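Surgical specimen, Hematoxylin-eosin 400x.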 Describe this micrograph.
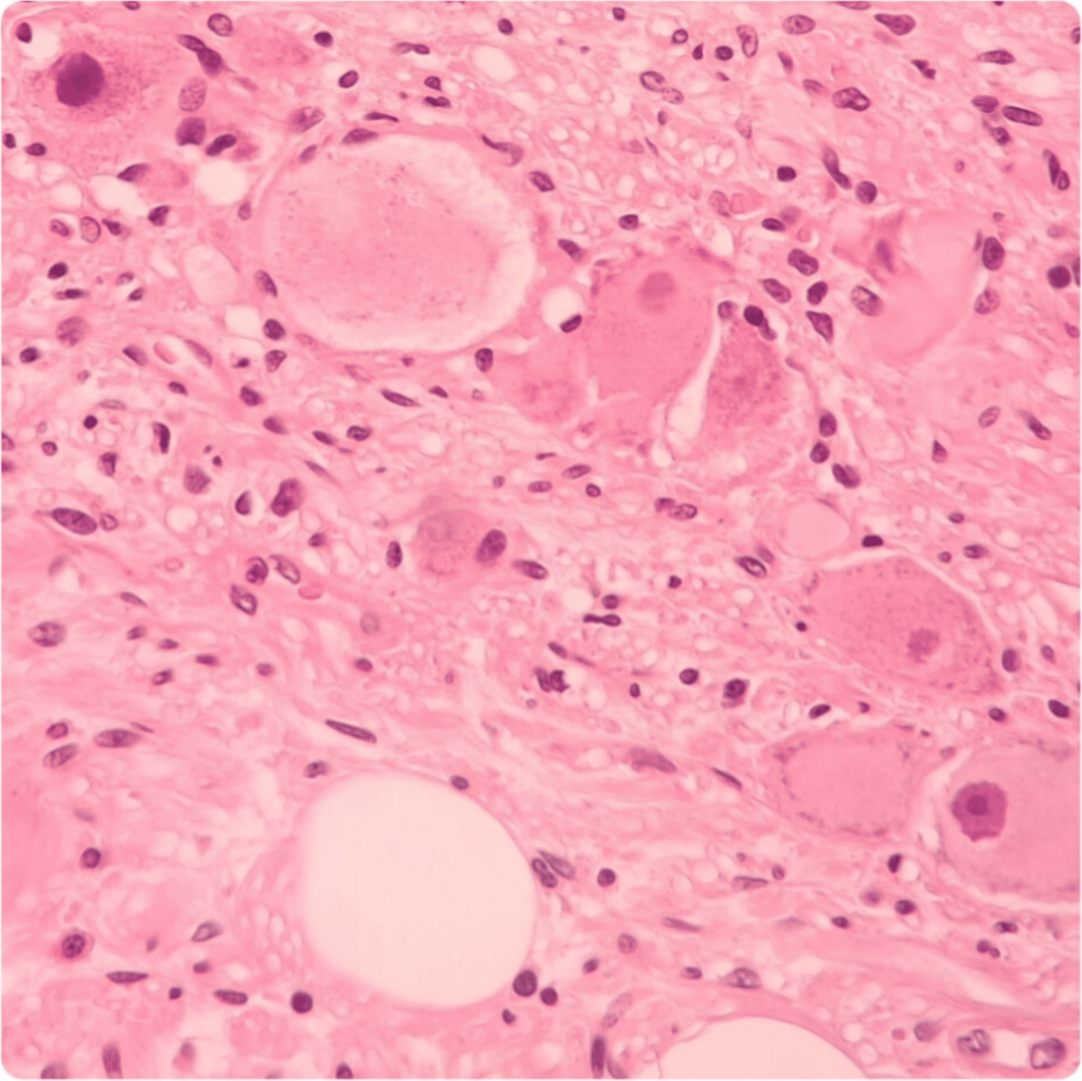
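Scattered large ganglion cells lie in a loose, pale pink fibrillar stroma. The ganglion cells are round to polygonal, with abundant pink, finely granular cytoplasm and clear cell borders. Some large cells look paler and washed out, without a visible nucleus in the plane of section. Between them run many small cells with elongated or oval dark nuclei, wavy in arrangement, in a bubbly, vacuolated pink matrix. A few rounded empty clear spaces are present. No sheets of small round immature cells are seen.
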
